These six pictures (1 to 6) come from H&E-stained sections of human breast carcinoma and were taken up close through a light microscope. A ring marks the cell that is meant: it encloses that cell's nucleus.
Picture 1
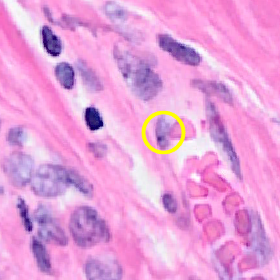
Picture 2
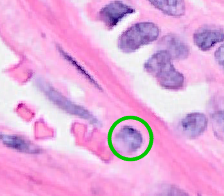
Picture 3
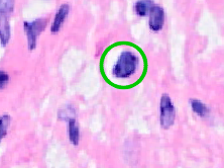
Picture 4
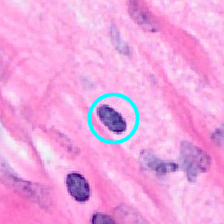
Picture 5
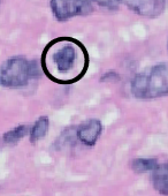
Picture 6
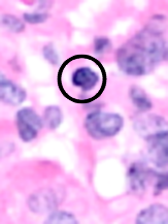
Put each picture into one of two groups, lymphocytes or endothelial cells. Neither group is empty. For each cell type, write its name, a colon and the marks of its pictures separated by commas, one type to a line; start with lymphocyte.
lymphocyte: 3, 4, 5, 6
endothelial cell: 1, 2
